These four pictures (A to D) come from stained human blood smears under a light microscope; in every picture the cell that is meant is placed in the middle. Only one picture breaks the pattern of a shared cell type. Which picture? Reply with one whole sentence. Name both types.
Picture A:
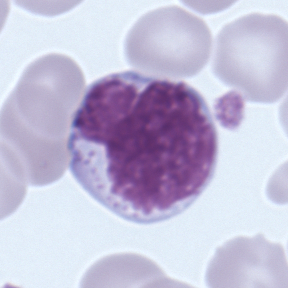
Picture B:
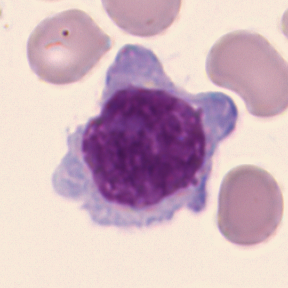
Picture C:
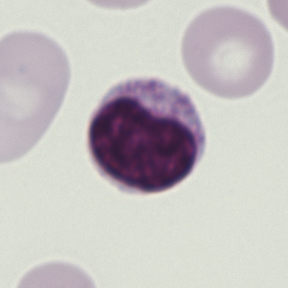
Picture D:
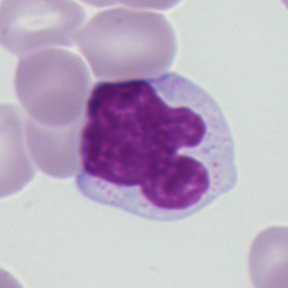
All pictures except B show large granular lymphocytes; picture B shows a plasma cell.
